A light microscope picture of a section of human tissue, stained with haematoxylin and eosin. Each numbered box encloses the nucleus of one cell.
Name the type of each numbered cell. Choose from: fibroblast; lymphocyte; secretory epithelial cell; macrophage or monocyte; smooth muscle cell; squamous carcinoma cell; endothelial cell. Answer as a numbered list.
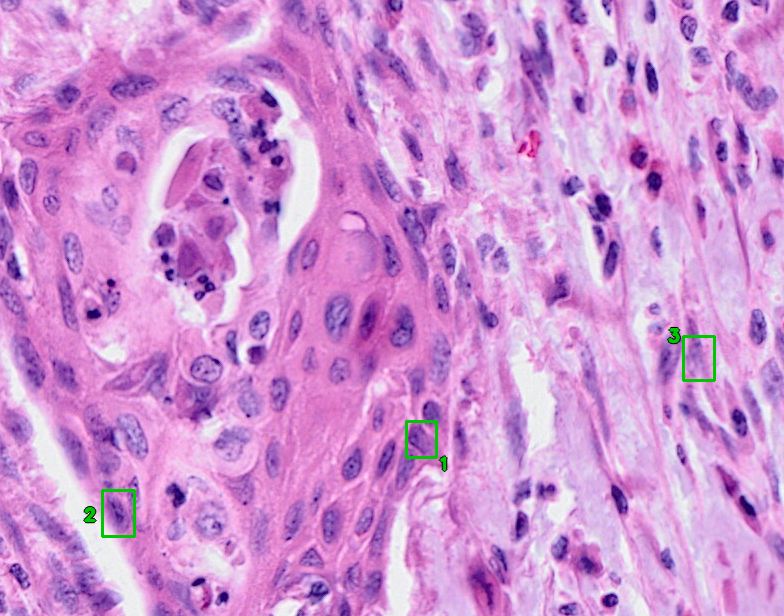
1. squamous carcinoma cell
2. squamous carcinoma cell
3. fibroblast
